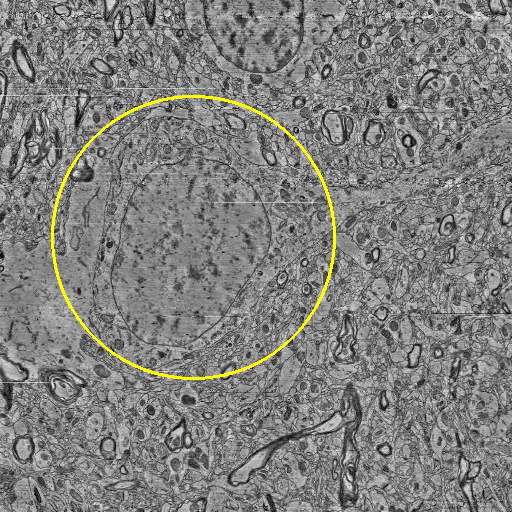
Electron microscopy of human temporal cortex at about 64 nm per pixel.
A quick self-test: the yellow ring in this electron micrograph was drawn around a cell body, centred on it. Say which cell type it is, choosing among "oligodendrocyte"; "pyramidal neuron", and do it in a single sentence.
The yellow-ringed cell is a pyramidal neuron.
